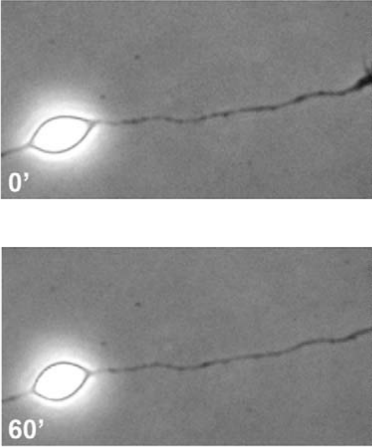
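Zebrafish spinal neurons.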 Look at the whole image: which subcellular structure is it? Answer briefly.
Neurite.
